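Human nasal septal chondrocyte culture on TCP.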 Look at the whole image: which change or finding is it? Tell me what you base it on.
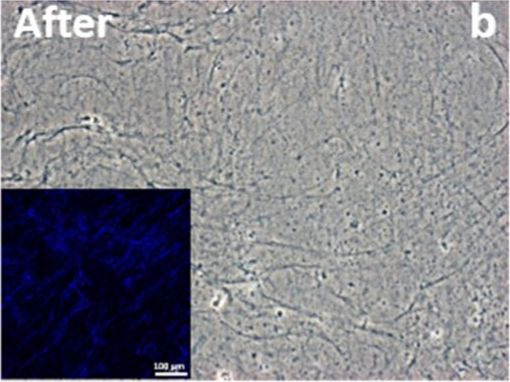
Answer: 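No whole cells with nuclei are seen in the phase image, only a thin fibrillar layer. The blue inset shows no distinct nuclei, only faint diffuse fibrous signal.
Conclusion: decellularization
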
